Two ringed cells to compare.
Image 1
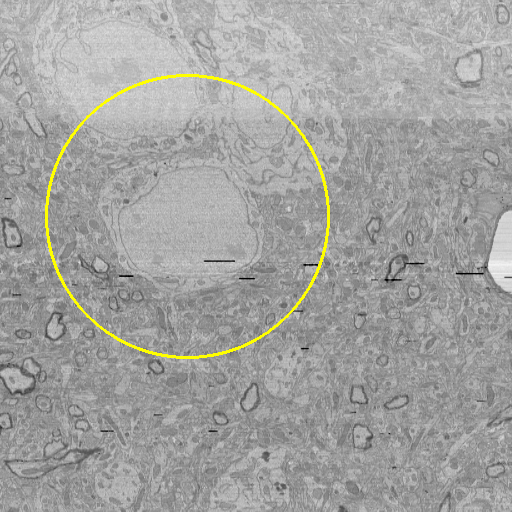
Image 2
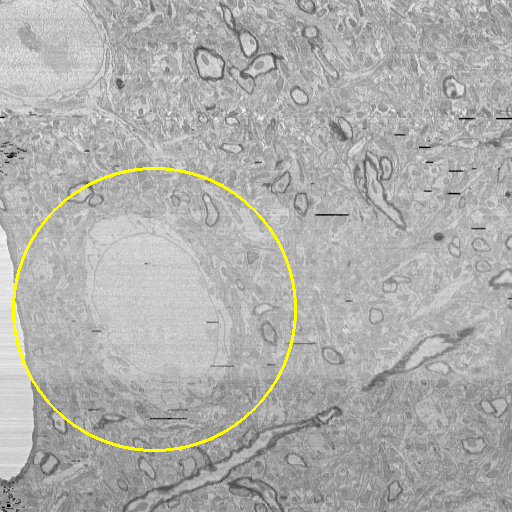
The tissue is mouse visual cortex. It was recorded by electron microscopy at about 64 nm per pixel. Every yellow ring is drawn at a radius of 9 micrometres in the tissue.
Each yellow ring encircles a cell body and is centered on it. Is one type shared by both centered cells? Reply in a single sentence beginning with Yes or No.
Yes, a single type is shared by the two cells at the centers of the rings.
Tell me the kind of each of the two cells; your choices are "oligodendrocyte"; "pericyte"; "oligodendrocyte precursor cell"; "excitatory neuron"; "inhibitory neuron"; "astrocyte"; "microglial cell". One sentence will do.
Each of the two cells is an excitatory neuron.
